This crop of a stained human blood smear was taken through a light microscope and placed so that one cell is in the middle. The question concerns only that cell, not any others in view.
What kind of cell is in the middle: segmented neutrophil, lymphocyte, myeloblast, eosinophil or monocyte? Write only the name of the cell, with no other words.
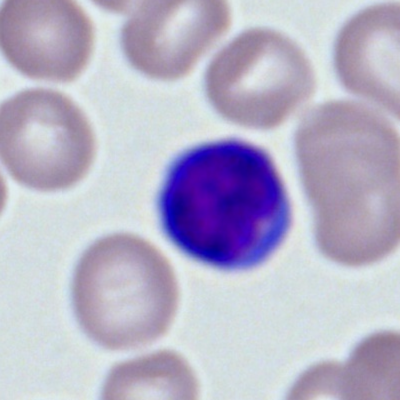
lymphocyte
